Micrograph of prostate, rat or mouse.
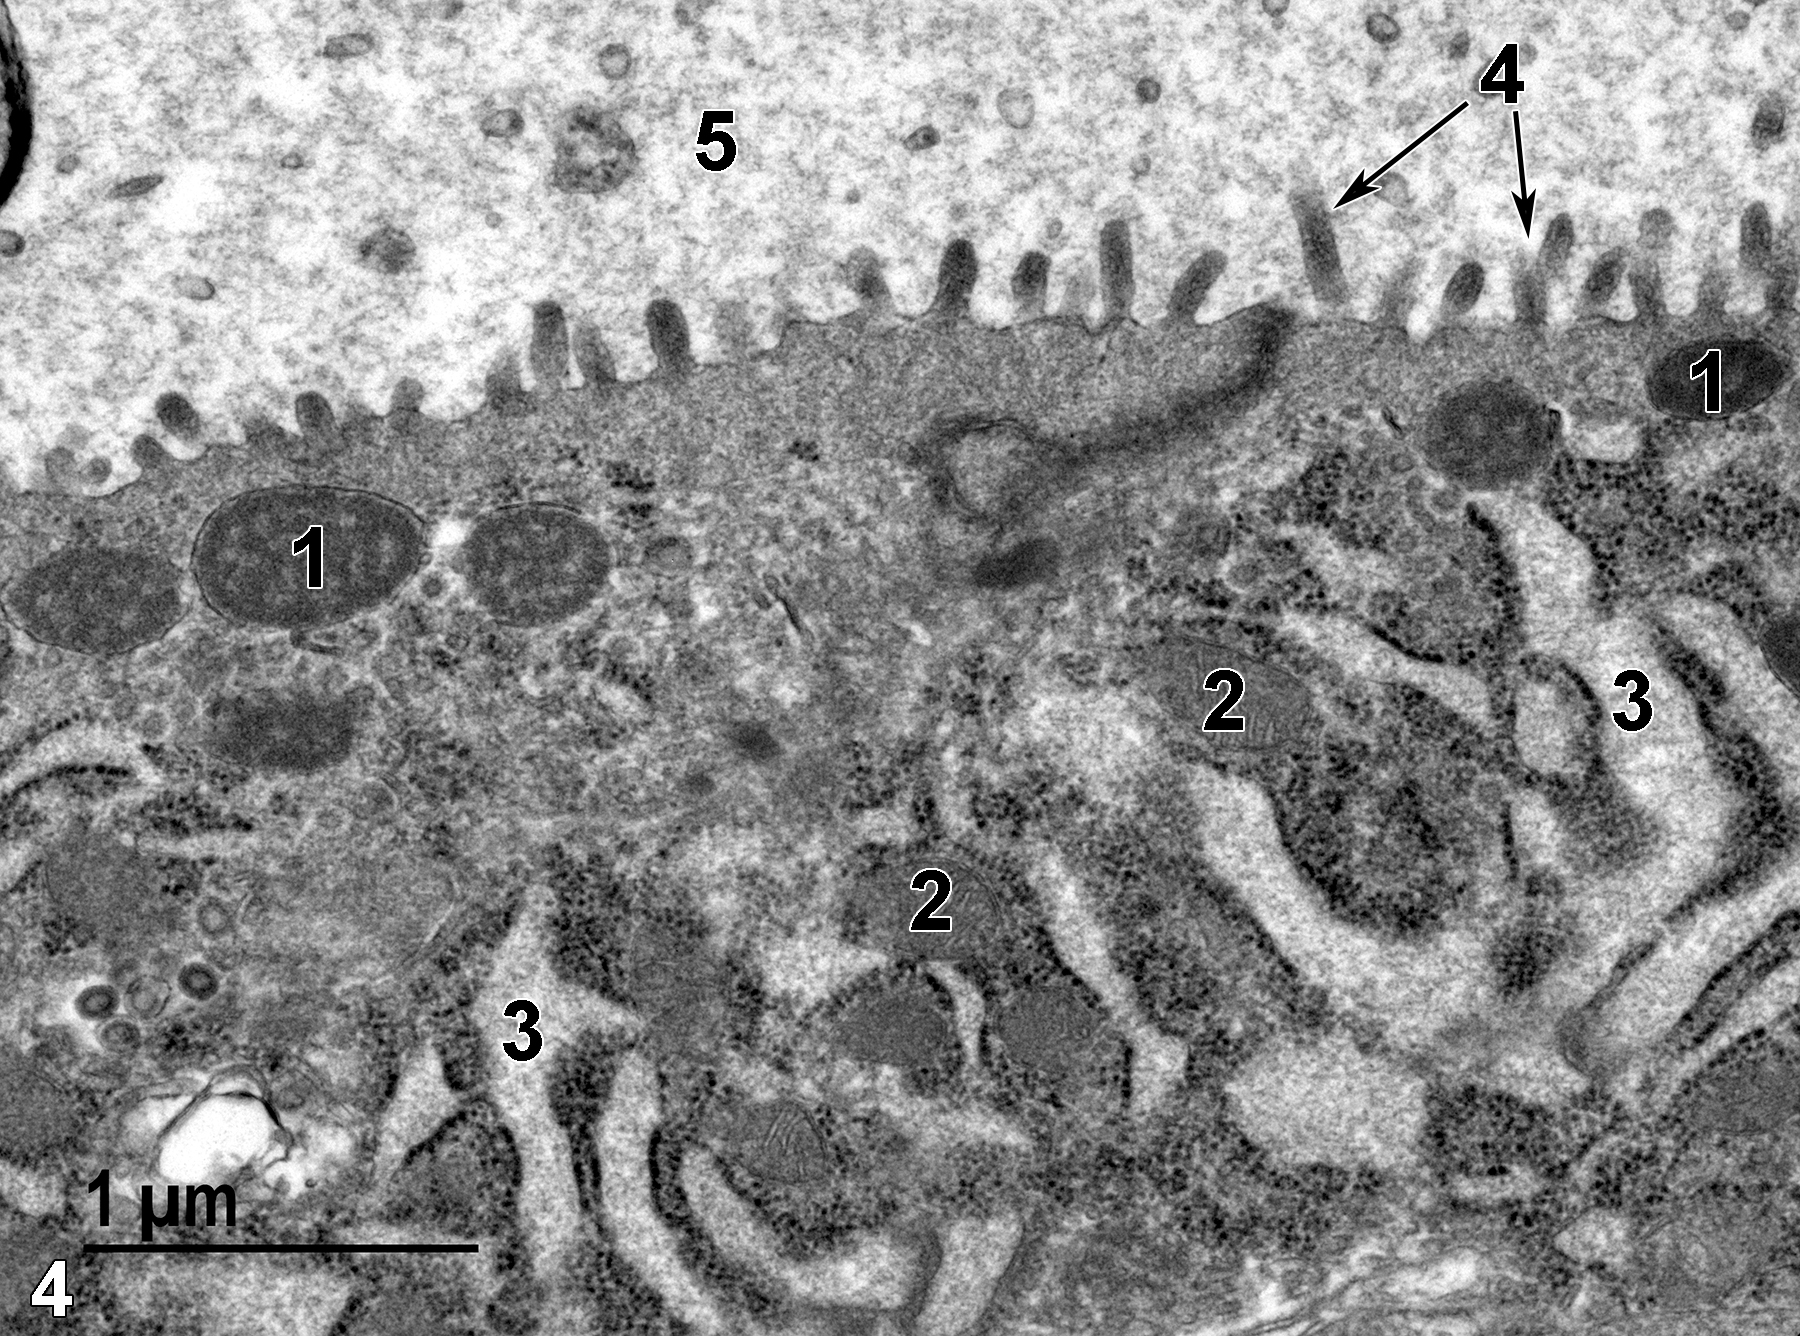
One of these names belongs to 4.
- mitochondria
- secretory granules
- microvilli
microvilli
